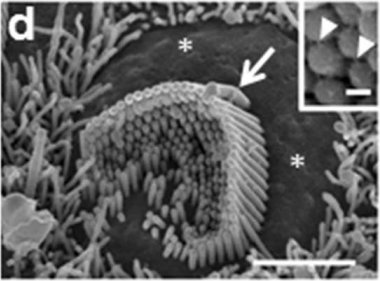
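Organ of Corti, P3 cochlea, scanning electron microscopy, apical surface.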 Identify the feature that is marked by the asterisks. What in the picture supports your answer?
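The asterisks lie on a smooth surface without stereocilia around the bundle.
Conclusion: stereocilia-free zone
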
